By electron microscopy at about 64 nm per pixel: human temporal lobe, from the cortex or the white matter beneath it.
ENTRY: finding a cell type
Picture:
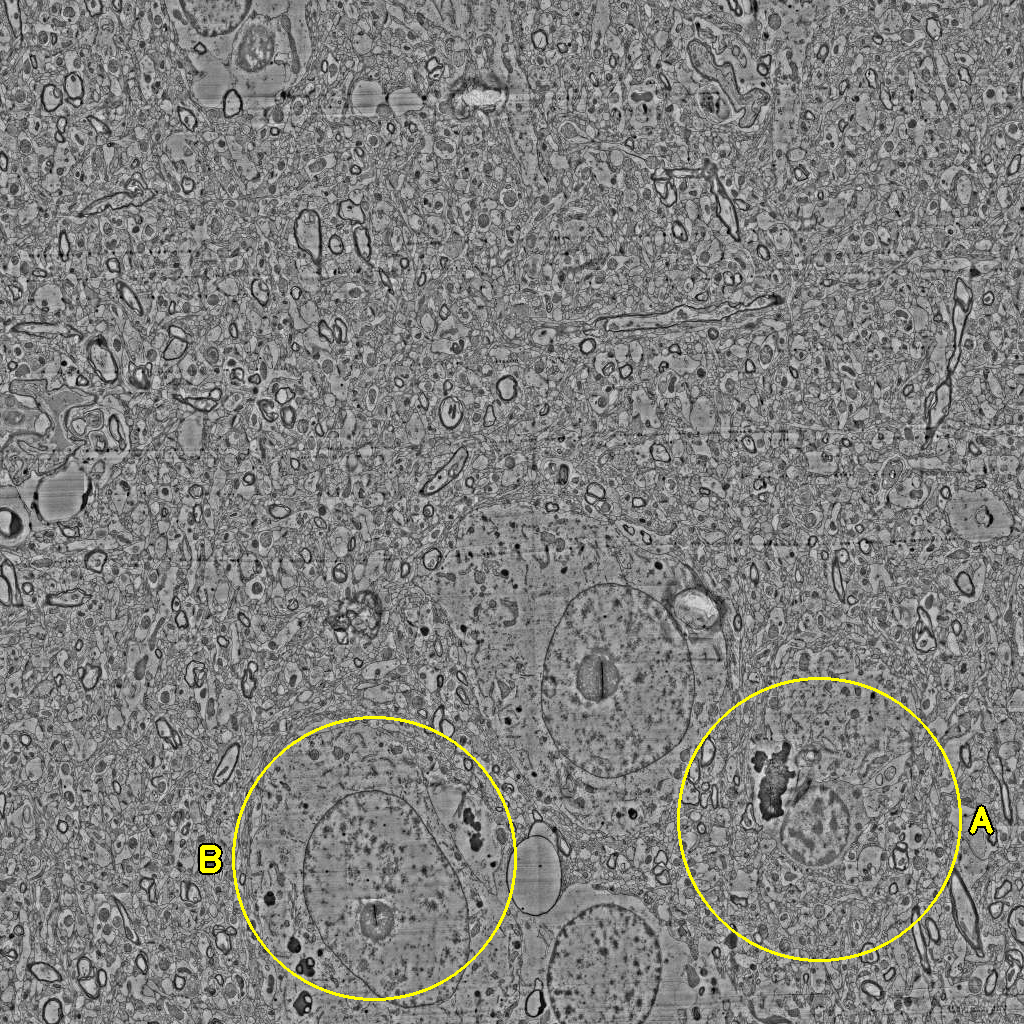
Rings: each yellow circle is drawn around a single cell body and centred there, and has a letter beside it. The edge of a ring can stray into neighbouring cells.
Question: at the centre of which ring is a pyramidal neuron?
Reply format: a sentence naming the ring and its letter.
The answer is ring B, the one centred on the cell asked for.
